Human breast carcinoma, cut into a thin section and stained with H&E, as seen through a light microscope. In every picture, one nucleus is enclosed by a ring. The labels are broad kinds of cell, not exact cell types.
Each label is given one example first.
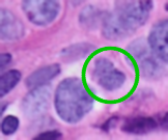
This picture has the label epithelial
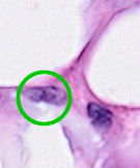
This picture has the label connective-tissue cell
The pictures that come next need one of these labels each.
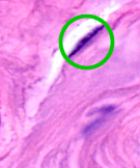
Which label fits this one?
connective-tissue cell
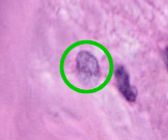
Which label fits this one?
connective-tissue cell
